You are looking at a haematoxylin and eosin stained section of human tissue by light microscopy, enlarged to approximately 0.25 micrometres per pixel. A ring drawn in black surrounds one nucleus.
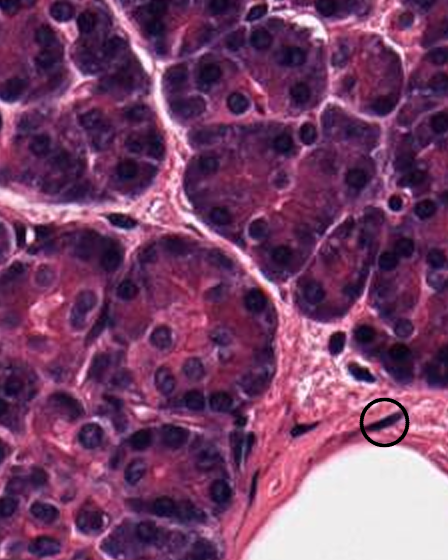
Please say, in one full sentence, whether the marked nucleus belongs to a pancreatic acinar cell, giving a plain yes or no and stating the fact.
No, the marked nucleus is not from a pancreatic acinar cell; a supporting cell is its source.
